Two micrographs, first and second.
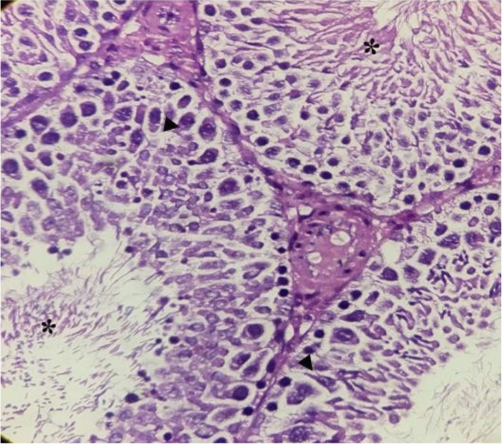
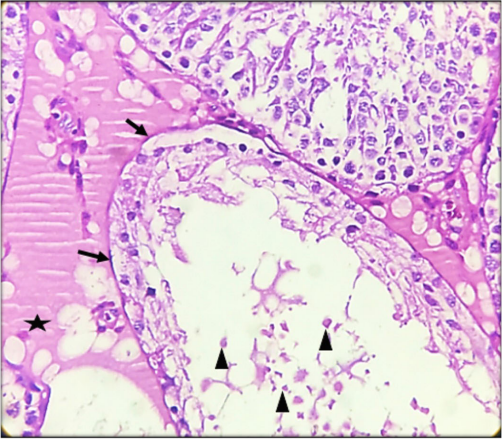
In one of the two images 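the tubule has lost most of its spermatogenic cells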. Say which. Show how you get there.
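First image: tubules are filled with many layers of cells with dark nuclei. Second image: the large tubule is largely empty, with only a thin rim of cells and scattered fragments.
Answer: the second image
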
